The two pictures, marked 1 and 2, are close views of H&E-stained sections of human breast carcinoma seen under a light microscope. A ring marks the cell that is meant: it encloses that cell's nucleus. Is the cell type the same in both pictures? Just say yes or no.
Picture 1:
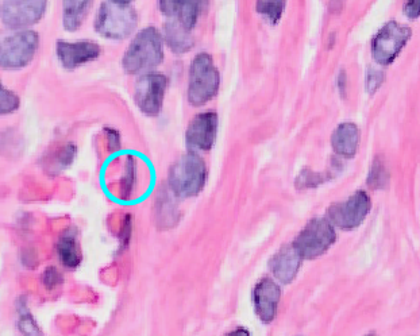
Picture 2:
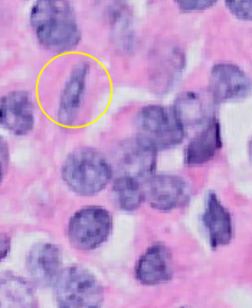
yes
